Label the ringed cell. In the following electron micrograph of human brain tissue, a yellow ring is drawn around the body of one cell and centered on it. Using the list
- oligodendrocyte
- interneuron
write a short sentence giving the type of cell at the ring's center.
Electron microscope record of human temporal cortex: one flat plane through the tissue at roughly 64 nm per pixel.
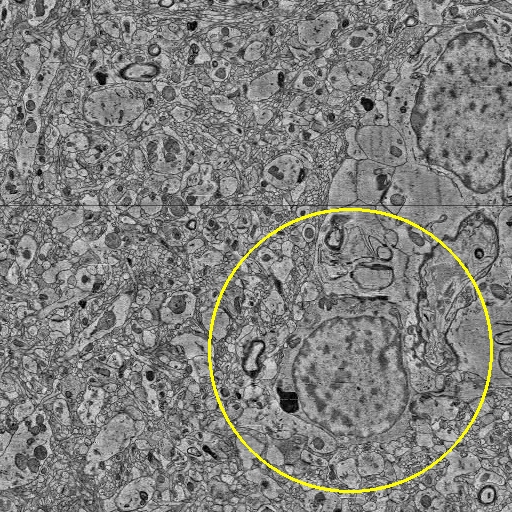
The cell body at the ring's center is that of an oligodendrocyte.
